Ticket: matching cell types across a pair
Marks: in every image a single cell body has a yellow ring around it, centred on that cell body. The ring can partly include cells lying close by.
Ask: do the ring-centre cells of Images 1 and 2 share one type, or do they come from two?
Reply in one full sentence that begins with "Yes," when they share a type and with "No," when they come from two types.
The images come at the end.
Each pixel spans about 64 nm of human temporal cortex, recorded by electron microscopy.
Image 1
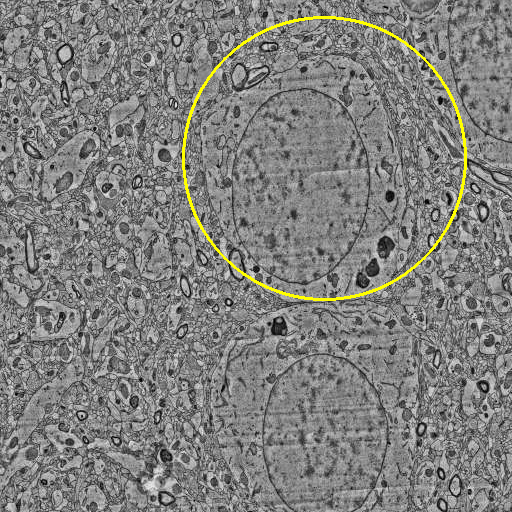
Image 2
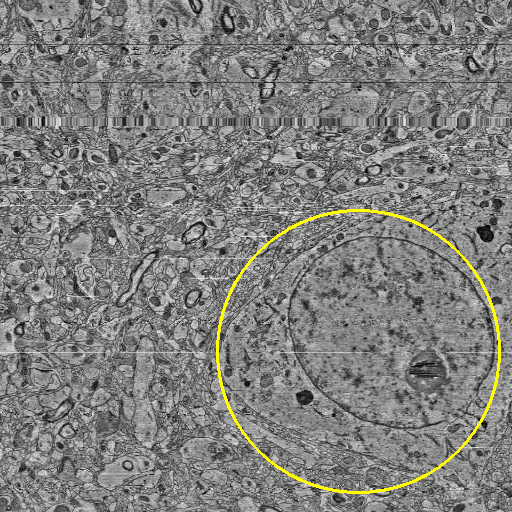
Yes, the cells in the centres of the rings in Image 1 and Image 2 share one type.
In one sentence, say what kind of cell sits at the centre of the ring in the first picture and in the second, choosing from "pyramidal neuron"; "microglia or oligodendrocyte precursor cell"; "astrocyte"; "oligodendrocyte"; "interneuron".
Each cell at the centre of a ring is a pyramidal neuron.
